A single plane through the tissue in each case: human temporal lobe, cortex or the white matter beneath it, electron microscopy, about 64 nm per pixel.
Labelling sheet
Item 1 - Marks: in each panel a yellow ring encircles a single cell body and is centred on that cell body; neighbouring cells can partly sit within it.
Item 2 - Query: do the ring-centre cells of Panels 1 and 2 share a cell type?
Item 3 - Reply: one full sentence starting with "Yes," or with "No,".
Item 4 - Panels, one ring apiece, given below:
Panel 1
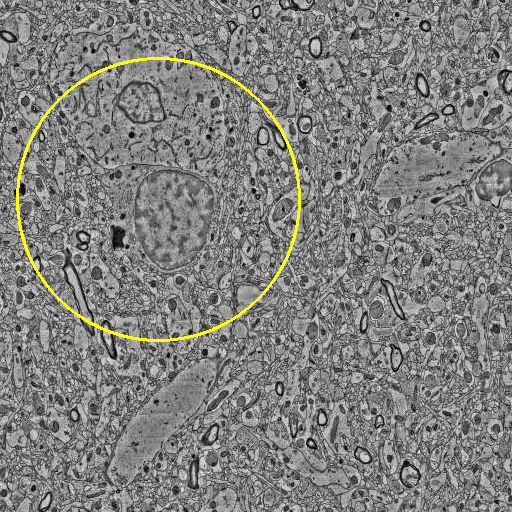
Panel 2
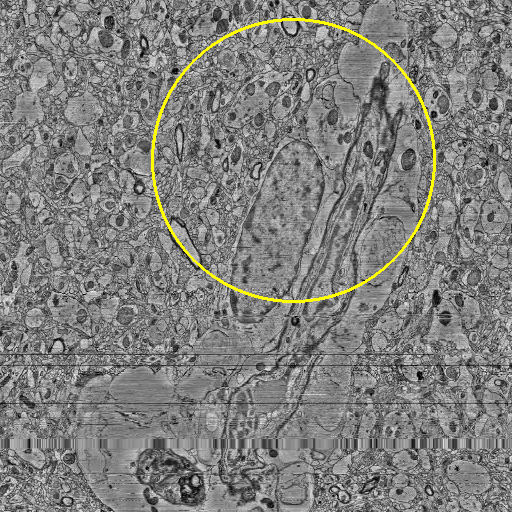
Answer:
No, Panel 1 and Panel 2 show two cell types at the centres of their rings.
